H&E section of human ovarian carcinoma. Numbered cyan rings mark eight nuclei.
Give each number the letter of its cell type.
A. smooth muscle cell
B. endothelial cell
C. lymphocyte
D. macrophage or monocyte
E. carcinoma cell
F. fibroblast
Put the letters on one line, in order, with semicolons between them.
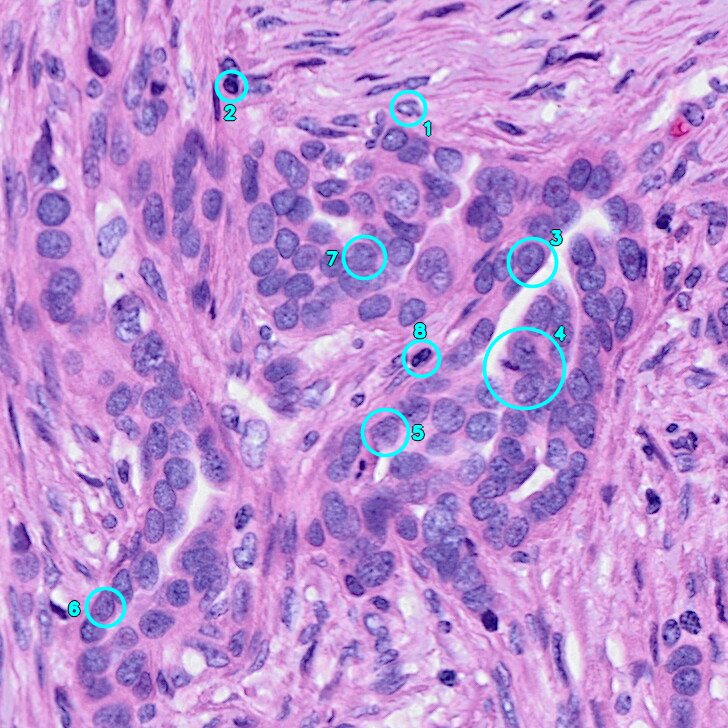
F; C; E; E; E; E; E; C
